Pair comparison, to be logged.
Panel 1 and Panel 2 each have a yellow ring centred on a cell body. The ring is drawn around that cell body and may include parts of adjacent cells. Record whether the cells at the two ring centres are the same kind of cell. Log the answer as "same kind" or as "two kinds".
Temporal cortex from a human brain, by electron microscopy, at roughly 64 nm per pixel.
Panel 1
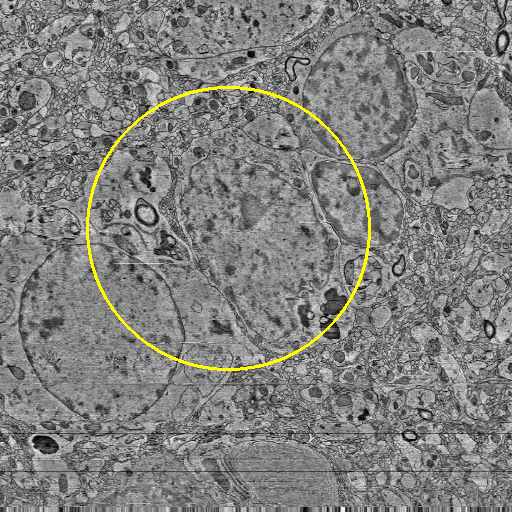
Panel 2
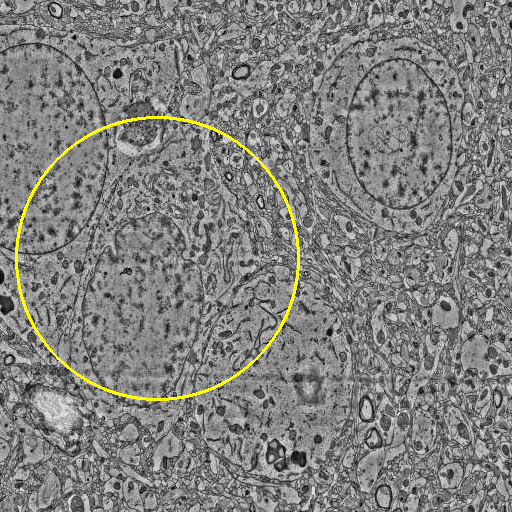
same kind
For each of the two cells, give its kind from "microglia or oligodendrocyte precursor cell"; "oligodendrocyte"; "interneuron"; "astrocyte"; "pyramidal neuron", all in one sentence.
In the first picture and in the second, the ring is centred on an interneuron.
